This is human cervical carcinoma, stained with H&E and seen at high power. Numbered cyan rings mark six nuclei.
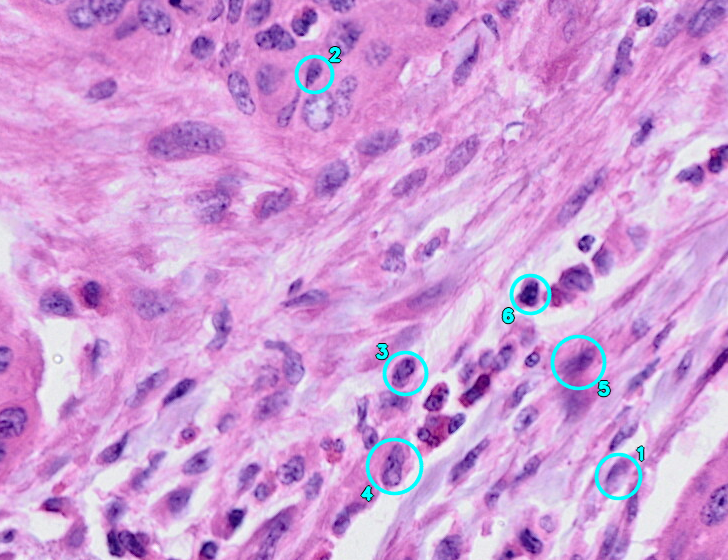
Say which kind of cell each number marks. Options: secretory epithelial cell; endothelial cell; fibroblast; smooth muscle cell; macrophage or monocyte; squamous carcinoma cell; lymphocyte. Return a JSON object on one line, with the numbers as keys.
{"1": "fibroblast", "2": "squamous carcinoma cell", "3": "macrophage or monocyte", "4": "macrophage or monocyte", "5": "endothelial cell", "6": "lymphocyte"}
